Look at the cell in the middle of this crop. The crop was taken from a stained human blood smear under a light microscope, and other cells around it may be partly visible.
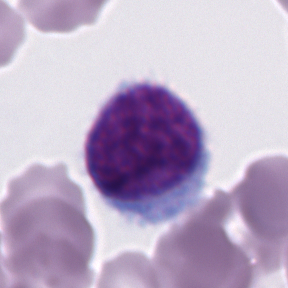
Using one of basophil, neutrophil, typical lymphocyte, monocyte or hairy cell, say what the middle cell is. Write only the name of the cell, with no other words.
hairy cell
